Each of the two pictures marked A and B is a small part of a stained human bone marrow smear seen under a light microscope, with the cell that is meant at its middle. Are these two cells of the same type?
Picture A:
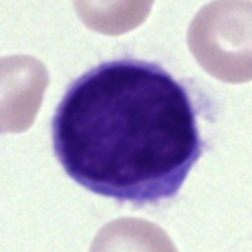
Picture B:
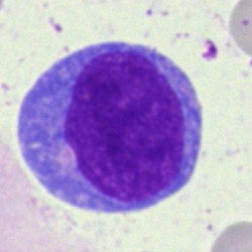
no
